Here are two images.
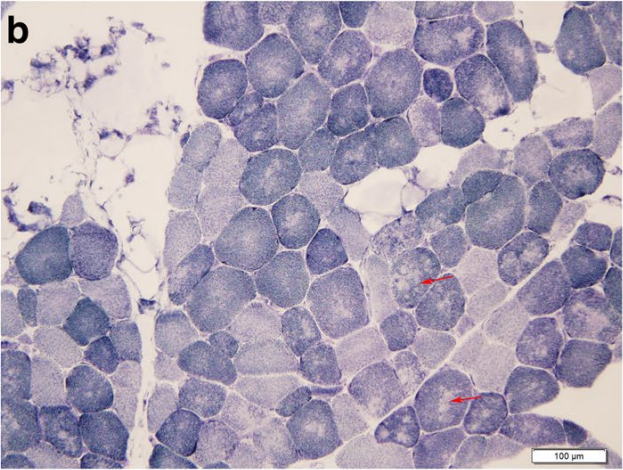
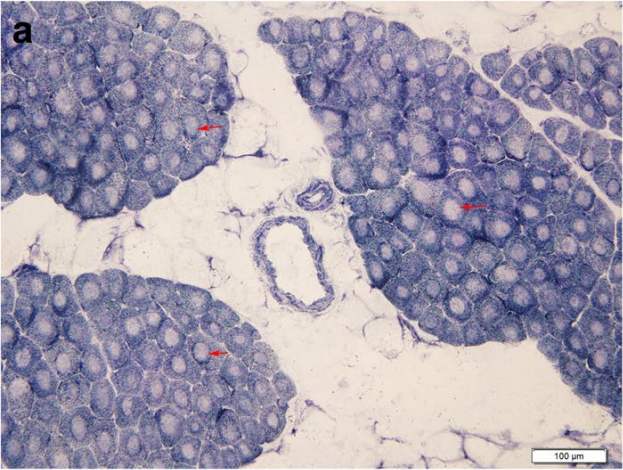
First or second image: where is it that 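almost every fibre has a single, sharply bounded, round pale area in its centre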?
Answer: The second image.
